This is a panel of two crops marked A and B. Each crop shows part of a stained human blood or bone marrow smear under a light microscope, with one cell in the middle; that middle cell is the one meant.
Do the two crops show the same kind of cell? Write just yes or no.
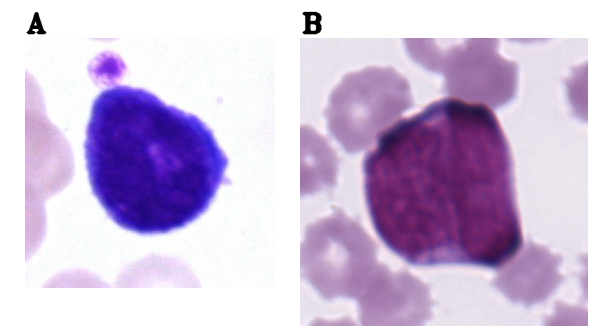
yes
